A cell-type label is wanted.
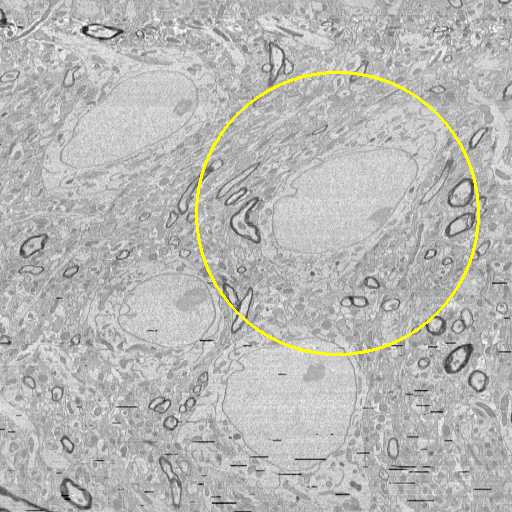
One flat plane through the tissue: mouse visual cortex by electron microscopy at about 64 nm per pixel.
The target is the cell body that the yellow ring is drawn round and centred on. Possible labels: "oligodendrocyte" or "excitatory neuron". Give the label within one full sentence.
Of the labels offered, the cell in the middle of the yellow ring is an excitatory neuron.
